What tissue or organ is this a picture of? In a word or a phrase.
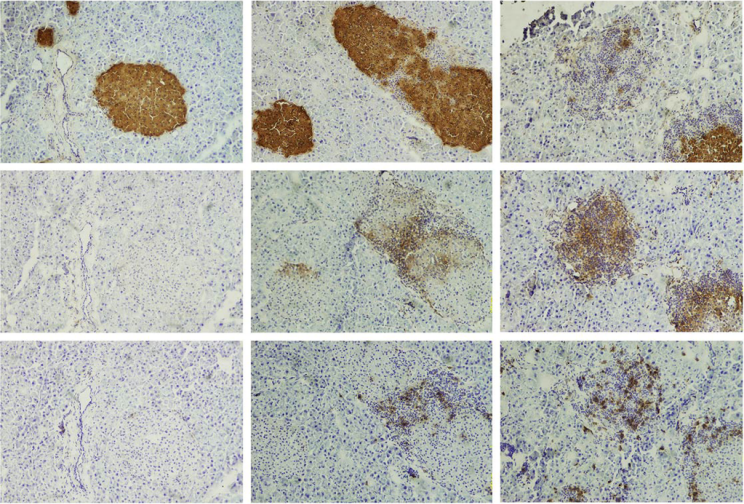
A: Pancreas.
